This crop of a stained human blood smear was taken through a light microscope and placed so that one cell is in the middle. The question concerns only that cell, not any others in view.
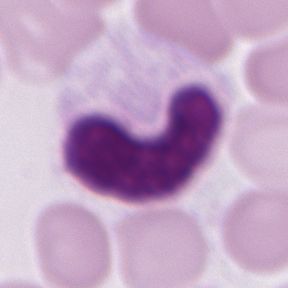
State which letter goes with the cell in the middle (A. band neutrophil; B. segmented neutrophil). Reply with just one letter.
A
